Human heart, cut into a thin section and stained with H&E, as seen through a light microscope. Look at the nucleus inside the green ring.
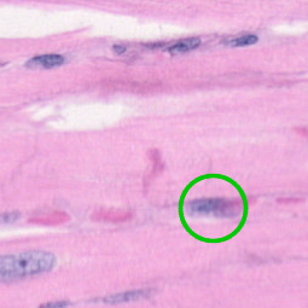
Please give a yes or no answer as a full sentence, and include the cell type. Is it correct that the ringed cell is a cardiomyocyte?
No, the ringed cell represents an endothelial cell and does not represent a cardiomyocyte.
